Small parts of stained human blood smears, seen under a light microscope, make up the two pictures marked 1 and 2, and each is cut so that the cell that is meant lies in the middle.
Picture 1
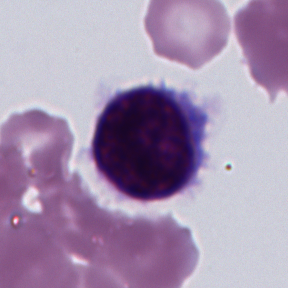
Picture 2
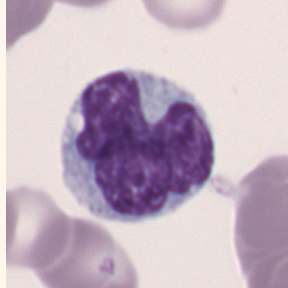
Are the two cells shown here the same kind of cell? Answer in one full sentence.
No; the cell in picture 1 is a hairy cell, while the one in picture 2 is a monocyte.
